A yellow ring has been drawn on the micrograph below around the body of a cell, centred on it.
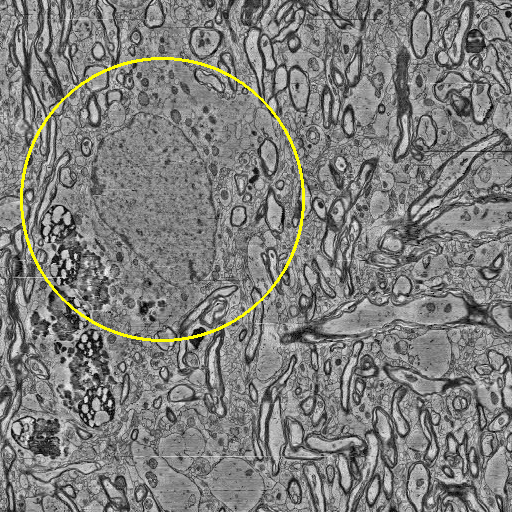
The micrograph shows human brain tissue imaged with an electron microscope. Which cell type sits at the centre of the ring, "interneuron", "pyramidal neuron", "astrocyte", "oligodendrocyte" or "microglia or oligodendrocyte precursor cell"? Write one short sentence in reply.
The cell sitting at the centre of the ring is an astrocyte.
